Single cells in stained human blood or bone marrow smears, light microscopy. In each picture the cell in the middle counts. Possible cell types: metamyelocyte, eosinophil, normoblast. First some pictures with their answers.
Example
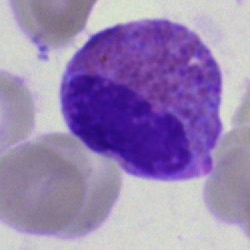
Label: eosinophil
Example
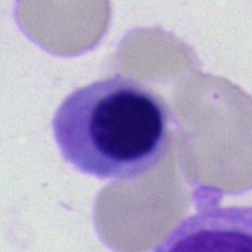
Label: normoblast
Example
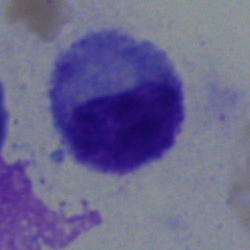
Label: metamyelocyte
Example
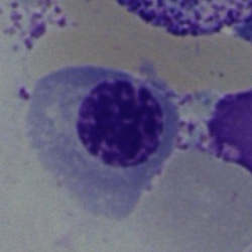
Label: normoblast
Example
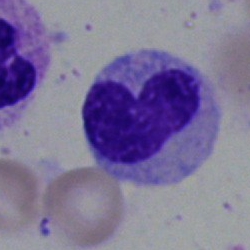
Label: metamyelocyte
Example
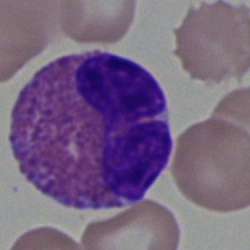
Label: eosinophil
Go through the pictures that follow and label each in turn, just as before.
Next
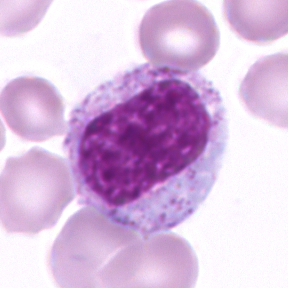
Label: metamyelocyte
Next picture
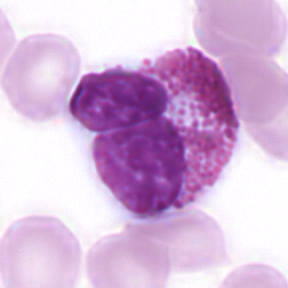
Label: eosinophil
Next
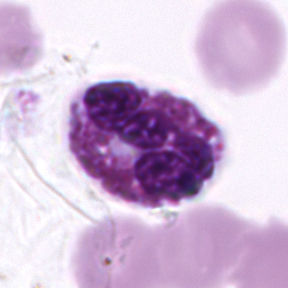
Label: eosinophil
